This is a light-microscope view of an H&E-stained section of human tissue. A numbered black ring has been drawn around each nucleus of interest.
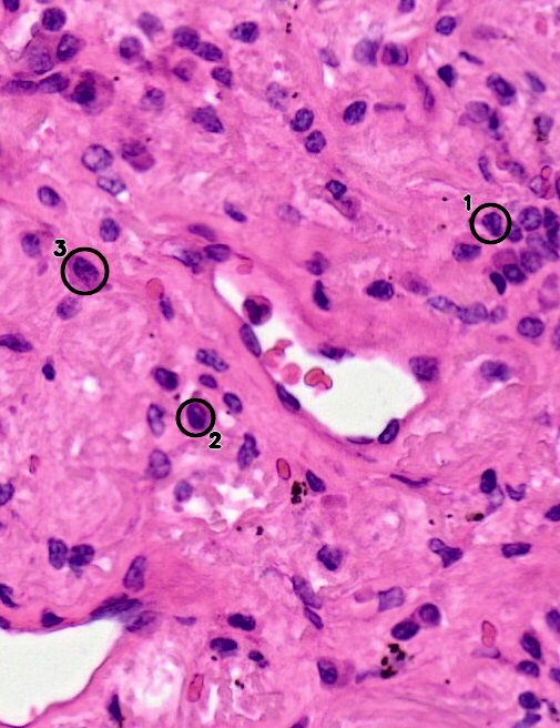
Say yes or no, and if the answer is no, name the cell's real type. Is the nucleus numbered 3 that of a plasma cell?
Yes.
